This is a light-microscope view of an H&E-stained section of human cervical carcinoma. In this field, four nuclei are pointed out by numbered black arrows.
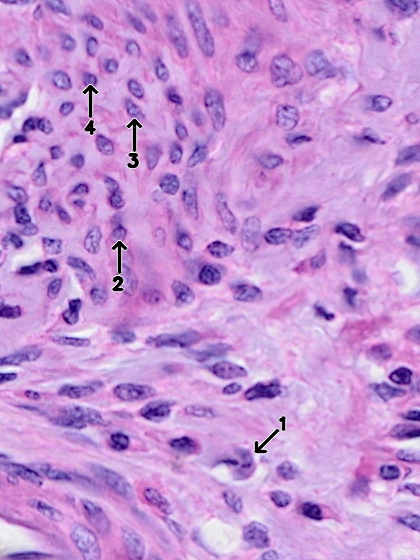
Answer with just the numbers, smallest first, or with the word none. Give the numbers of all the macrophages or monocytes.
1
